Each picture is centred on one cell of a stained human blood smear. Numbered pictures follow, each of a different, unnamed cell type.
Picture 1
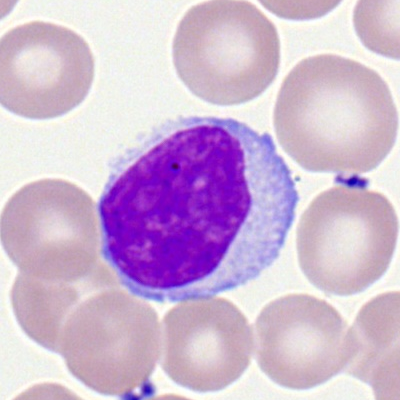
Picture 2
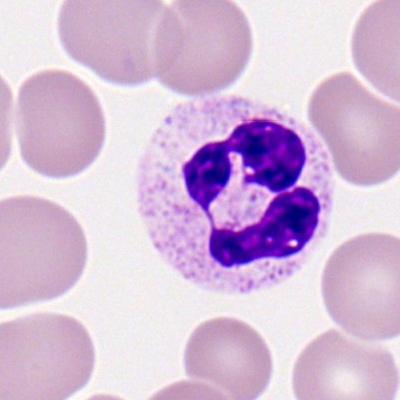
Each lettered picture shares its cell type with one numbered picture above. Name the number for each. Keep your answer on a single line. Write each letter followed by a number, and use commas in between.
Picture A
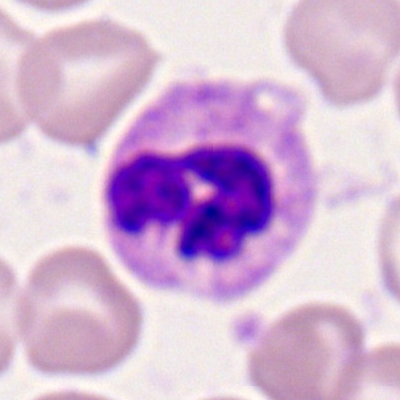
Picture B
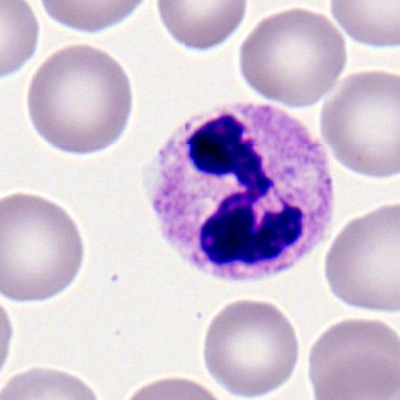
A 2, B 2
